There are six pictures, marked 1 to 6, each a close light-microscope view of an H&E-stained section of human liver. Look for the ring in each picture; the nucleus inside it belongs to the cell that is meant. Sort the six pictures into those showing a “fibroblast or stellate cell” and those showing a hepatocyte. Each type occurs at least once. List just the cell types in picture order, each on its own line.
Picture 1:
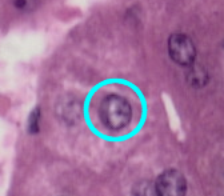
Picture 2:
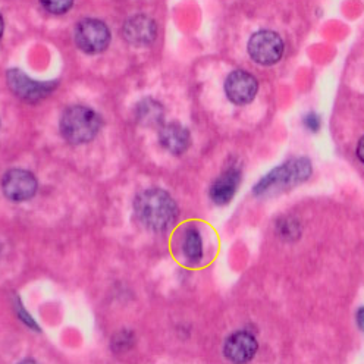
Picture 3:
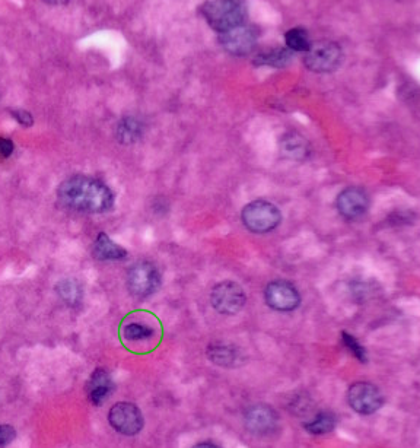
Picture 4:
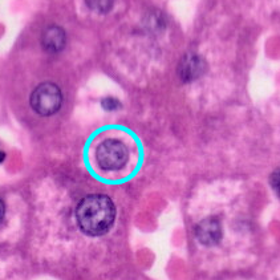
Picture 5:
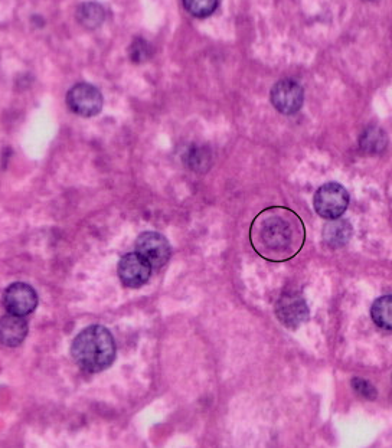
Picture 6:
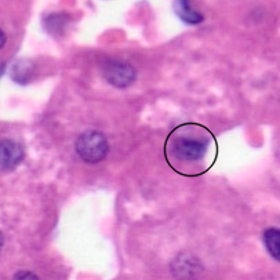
hepatocyte
fibroblast or stellate cell
fibroblast or stellate cell
hepatocyte
hepatocyte
fibroblast or stellate cell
